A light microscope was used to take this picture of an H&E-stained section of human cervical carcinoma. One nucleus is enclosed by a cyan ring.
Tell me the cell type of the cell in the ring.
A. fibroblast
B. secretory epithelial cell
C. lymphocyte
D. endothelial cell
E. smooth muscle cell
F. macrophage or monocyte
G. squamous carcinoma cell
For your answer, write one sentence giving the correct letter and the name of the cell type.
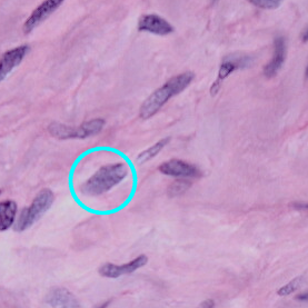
Here the cell in the ring is a fibroblast; pick option A.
